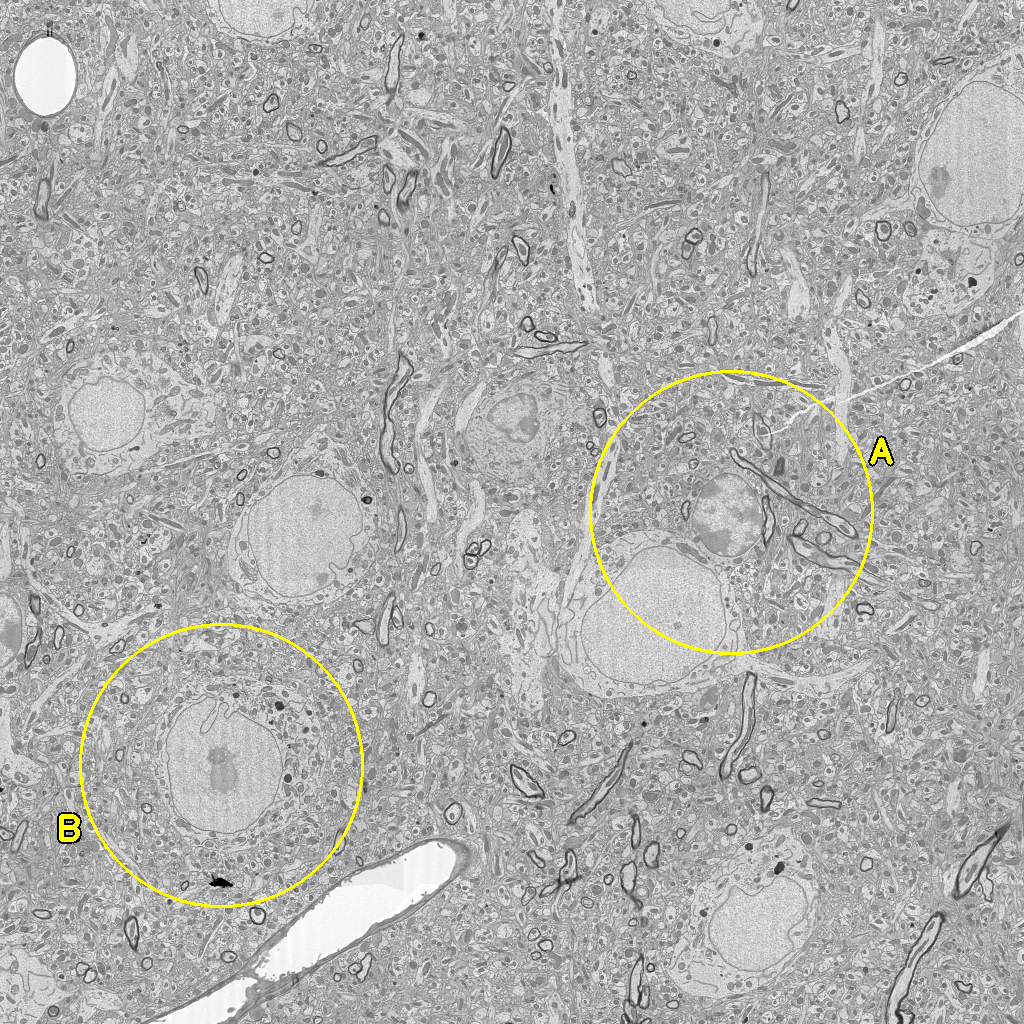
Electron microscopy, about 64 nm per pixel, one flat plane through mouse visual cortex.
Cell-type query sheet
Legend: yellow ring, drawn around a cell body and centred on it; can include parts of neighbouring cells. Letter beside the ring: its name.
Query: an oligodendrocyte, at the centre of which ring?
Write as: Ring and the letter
Ring A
